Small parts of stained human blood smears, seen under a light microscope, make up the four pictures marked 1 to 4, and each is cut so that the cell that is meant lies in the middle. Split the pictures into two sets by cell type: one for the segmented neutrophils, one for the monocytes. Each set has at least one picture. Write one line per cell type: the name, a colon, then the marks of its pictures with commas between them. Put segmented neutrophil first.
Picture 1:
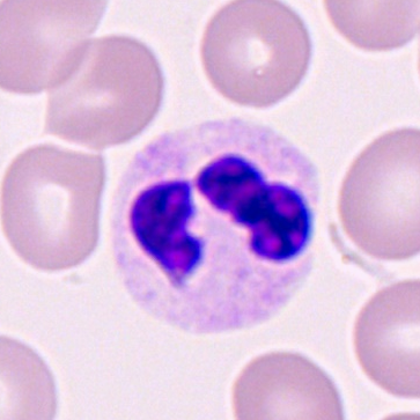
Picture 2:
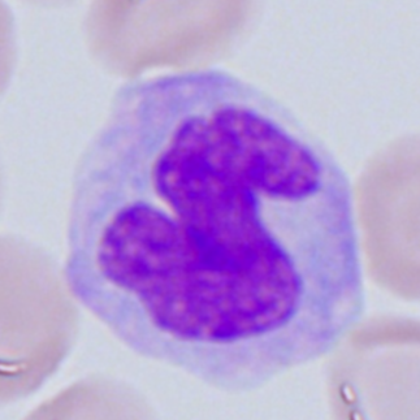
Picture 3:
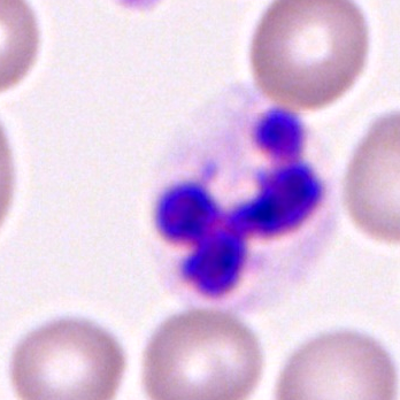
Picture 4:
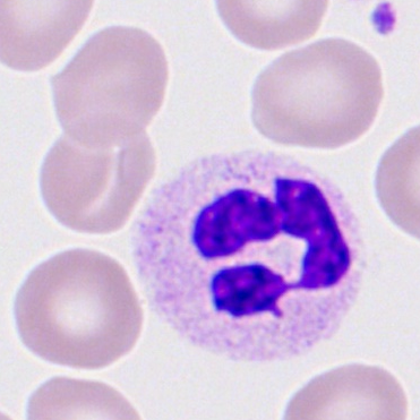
segmented neutrophil: 1, 3, 4
monocyte: 2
